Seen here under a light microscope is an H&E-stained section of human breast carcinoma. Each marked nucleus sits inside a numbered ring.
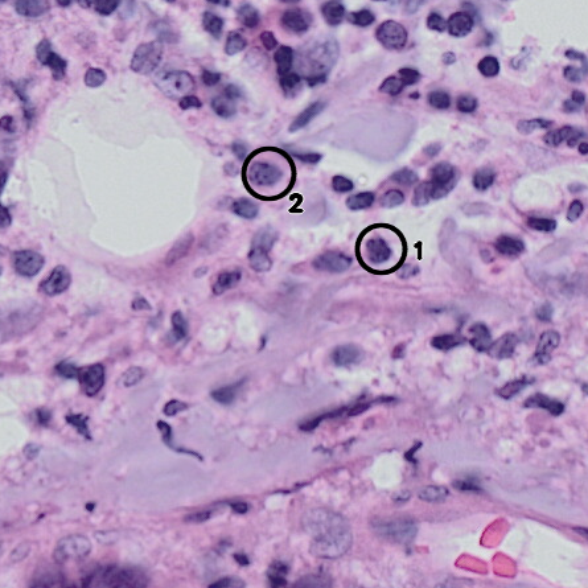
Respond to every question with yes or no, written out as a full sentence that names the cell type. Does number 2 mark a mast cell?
Yes, the cell to which number 2 refers is a mast cell.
